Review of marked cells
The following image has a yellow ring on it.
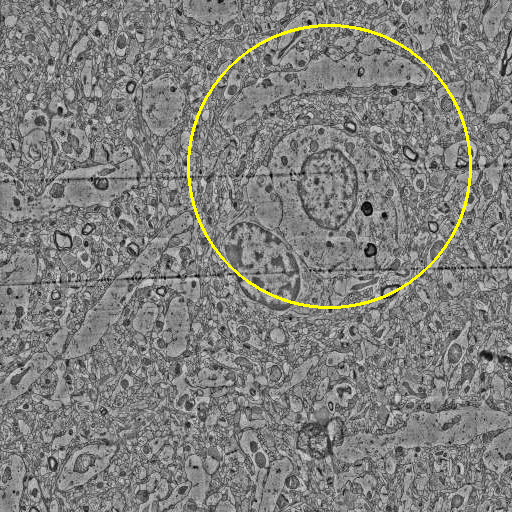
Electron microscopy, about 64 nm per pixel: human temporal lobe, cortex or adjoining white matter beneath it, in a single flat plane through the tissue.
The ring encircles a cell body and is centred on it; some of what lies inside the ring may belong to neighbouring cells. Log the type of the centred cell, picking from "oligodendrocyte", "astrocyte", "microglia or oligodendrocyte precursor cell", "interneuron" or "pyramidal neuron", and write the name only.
pyramidal neuron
